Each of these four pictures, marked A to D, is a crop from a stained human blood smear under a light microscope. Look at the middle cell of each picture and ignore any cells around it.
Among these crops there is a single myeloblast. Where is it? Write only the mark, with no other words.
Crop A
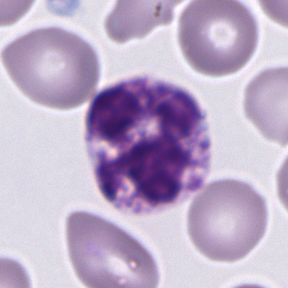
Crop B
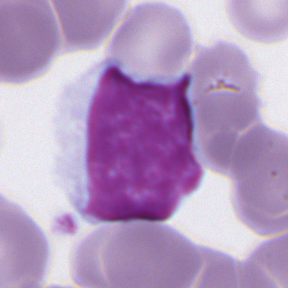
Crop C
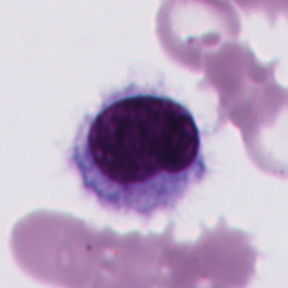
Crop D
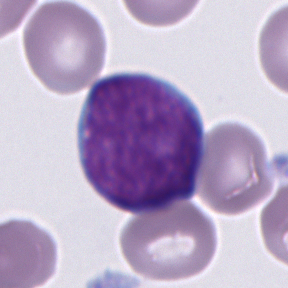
D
